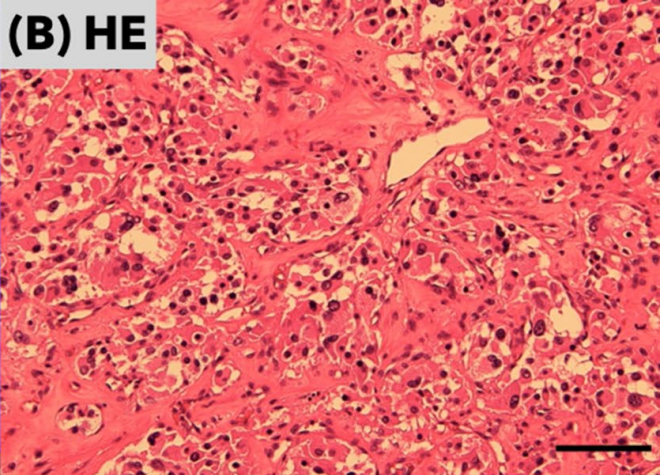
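Rounded clusters of polygonal cells with plentiful pale pink to clear cytoplasm and roundish dark nuclei sit in a framework of thin pink fibrous strands, with a small vessel-like space among them. This nested arrangement of tumor cells with abundant cytoplasm marks the growth pattern of the tumor.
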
